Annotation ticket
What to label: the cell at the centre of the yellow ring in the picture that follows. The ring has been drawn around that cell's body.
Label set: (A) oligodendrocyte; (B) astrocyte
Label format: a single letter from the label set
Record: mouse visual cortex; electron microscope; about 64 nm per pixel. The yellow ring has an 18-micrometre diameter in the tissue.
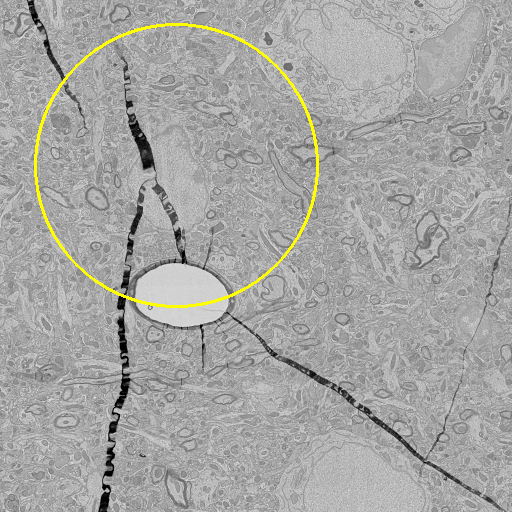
B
